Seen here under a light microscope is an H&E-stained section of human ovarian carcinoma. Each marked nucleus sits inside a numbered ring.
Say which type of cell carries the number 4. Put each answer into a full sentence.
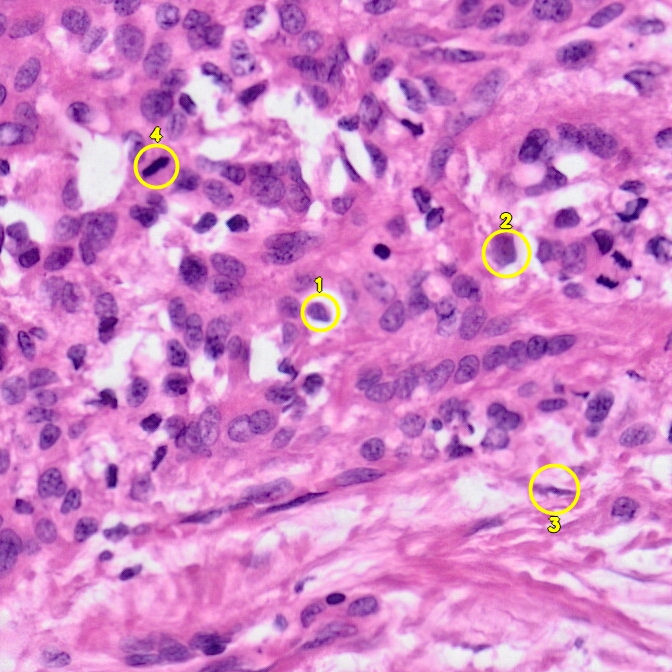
Identified by the number 4, the cell is a carcinoma cell.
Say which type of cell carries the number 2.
In this section, number 2 marks a carcinoma cell.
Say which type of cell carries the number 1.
Cell 1 is classified as a carcinoma cell.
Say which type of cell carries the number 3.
In this section, number 3 marks a fibroblast.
